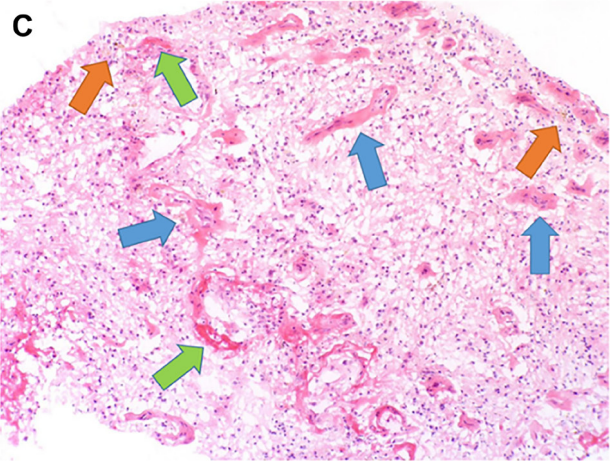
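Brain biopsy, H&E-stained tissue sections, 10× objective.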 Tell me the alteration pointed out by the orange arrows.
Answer: Hemosiderin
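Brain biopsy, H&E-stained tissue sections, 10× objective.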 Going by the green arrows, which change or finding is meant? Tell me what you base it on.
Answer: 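The arrows point to vessel walls that are bright, deep pink-red and smudgy. These walls stand out more intensely than the surrounding pale tissue. So: vascular fibrinoid necrosis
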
